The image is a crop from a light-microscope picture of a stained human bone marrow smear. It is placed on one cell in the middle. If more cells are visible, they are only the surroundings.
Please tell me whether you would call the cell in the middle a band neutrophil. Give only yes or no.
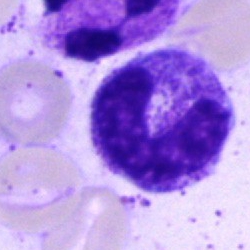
yes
